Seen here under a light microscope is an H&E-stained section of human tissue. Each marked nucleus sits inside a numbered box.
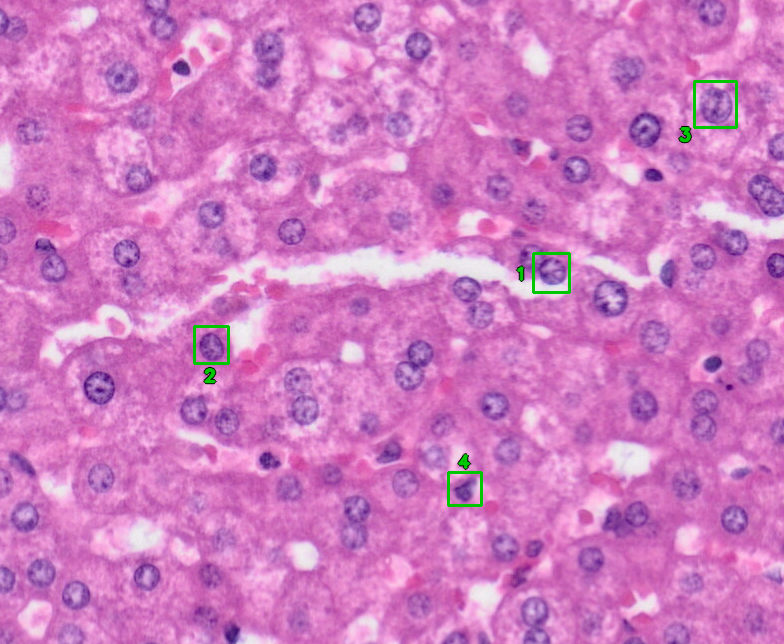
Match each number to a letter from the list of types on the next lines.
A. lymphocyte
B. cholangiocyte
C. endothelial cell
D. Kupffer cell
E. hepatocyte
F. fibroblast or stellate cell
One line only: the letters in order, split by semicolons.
E; E; E; C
